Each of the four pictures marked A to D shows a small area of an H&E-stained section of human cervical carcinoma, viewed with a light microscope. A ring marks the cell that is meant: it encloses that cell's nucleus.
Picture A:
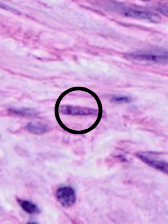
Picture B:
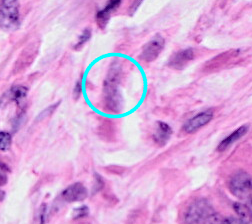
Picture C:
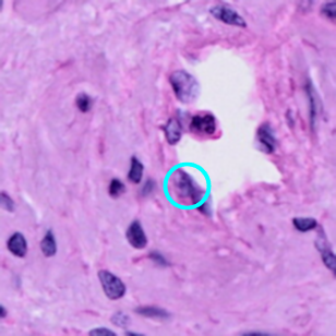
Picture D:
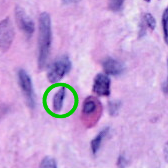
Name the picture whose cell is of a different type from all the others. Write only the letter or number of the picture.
C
